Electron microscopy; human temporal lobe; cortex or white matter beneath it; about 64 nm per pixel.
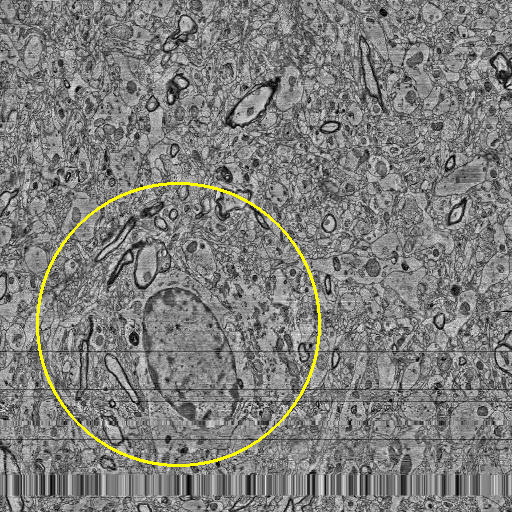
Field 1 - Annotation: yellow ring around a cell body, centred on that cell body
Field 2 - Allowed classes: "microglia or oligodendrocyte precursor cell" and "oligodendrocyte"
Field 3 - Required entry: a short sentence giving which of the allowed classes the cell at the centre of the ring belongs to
The centred cell is a microglial cell or oligodendrocyte precursor cell.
